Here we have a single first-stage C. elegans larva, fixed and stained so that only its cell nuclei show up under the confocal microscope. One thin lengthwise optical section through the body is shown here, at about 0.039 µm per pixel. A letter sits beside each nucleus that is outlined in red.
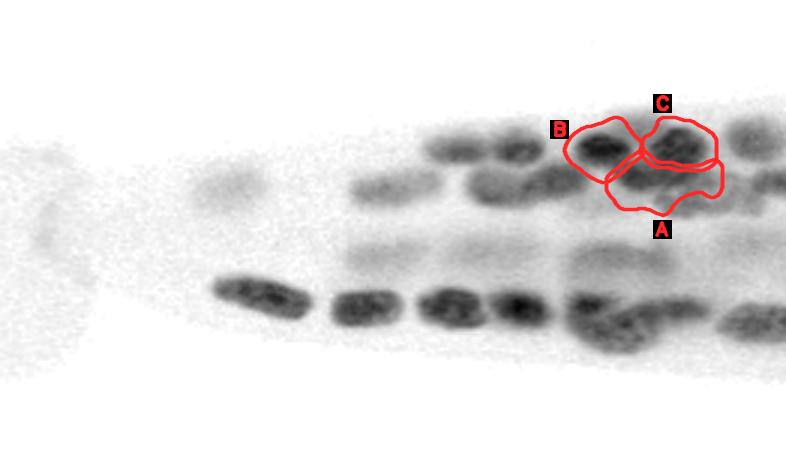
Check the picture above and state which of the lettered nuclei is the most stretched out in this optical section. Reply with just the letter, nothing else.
A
